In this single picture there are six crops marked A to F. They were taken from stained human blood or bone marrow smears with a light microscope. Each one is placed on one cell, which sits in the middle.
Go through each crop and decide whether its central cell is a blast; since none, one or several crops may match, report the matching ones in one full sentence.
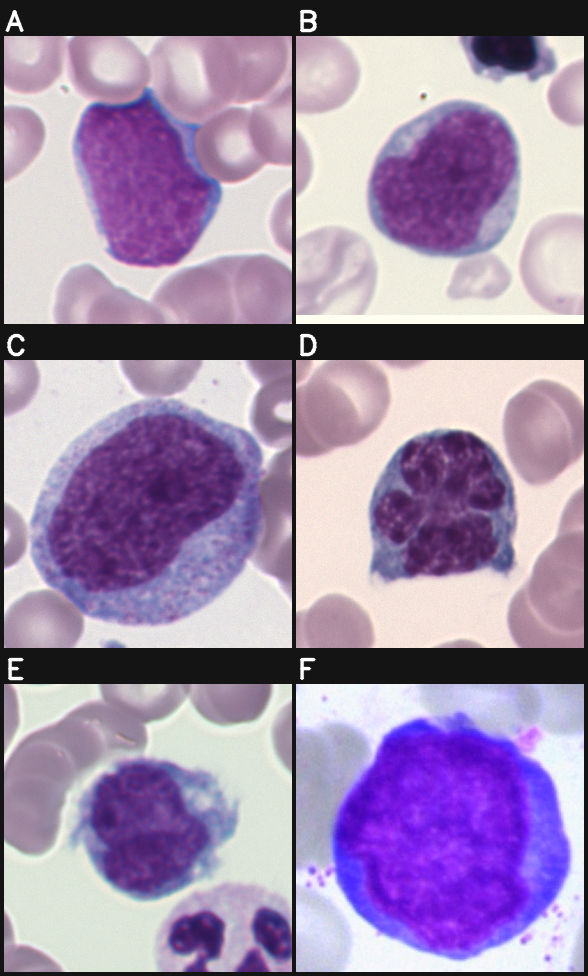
Crops A, B, D and F show blasts, going by the cell in the middle of each.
